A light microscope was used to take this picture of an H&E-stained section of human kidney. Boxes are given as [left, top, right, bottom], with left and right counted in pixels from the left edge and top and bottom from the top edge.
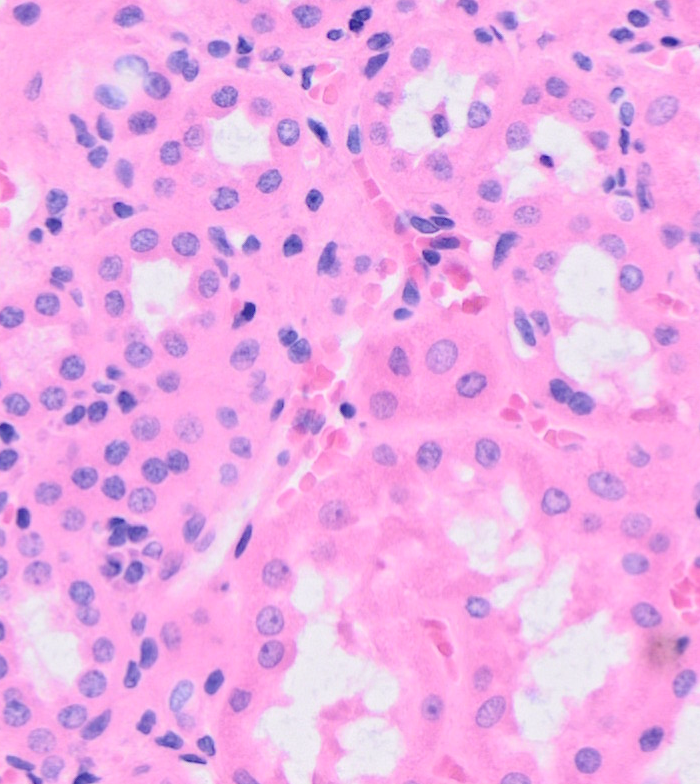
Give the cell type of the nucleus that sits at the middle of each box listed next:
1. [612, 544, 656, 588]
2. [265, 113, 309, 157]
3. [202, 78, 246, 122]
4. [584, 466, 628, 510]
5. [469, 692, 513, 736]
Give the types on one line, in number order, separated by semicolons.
proximal tubule cell; loop of Henle or distal tubule cell; loop of Henle or distal tubule cell; proximal tubule cell; proximal tubule cell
